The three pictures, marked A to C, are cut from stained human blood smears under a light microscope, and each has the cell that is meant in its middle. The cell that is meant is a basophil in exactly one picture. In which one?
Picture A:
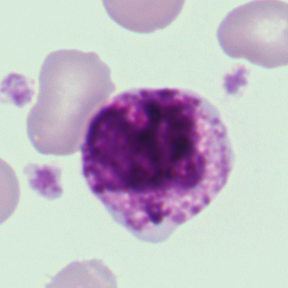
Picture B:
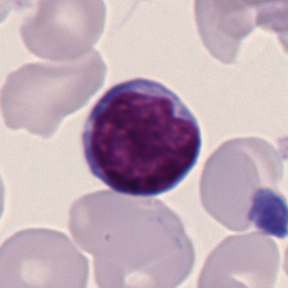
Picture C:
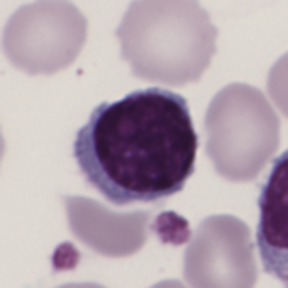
A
